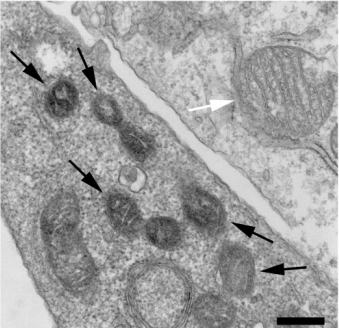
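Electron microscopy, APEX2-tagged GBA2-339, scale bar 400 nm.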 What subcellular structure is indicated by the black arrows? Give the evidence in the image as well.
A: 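Small round organelles with dark, electron-dense contents. Faint inner membrane folds visible in some of them.
Mitochondria.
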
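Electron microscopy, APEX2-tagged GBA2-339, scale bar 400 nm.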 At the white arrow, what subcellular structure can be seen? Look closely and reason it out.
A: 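An oval organelle bounded by a double membrane. Regular parallel inner membrane folds cross its interior. Its matrix is pale, unlike the dark organelles nearby. The answer: mitochondrion.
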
